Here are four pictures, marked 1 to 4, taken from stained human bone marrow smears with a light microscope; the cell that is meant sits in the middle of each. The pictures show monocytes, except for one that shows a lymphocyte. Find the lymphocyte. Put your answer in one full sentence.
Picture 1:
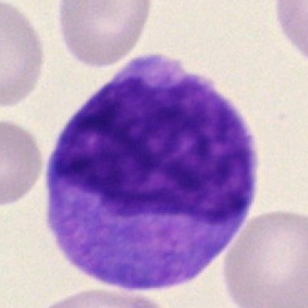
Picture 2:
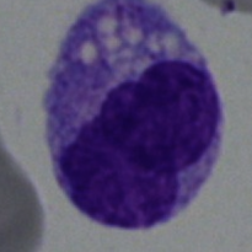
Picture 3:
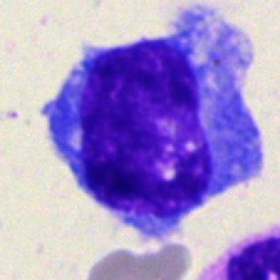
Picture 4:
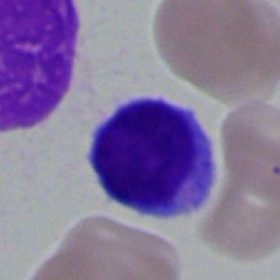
The lymphocyte is the one in picture 4.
